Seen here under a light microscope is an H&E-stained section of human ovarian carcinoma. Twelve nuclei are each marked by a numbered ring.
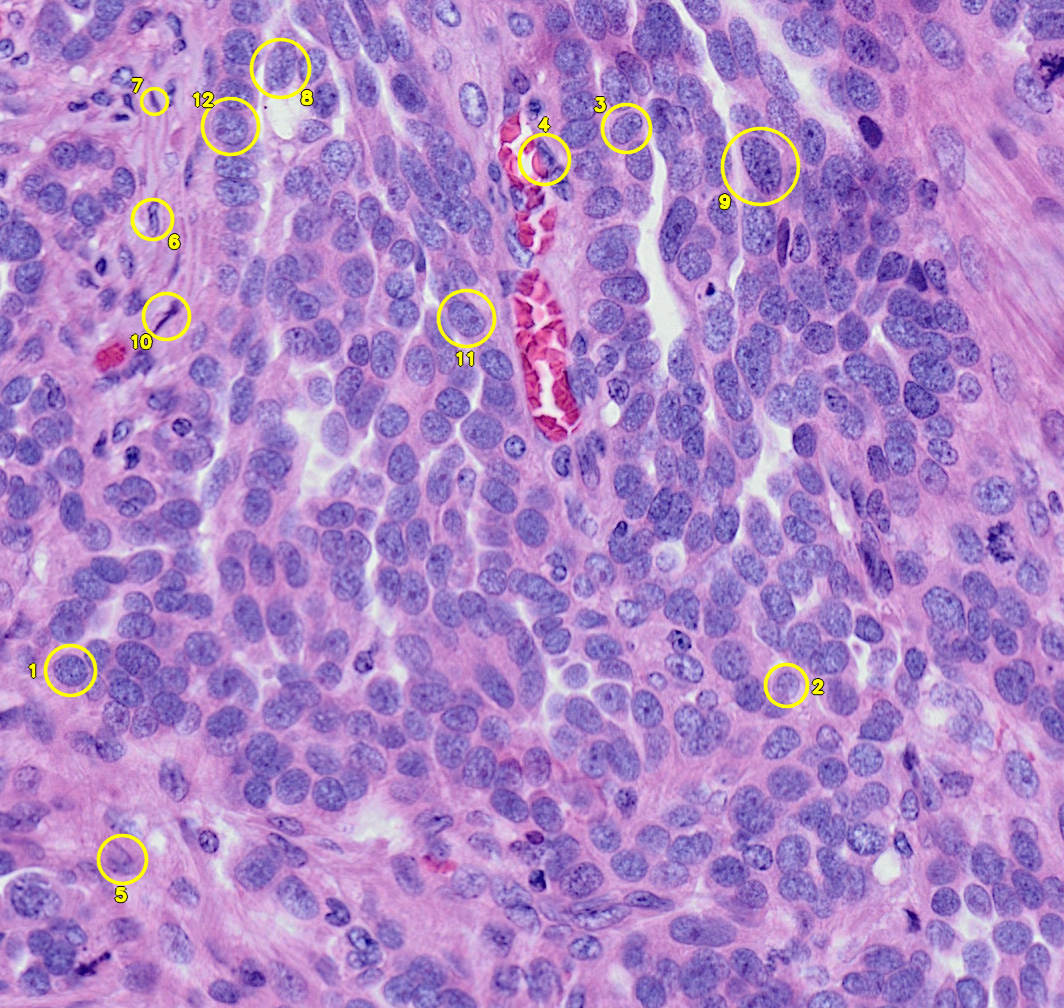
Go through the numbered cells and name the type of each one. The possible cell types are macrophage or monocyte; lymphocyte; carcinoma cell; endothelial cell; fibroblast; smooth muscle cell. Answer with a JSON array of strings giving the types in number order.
["carcinoma cell", "carcinoma cell", "carcinoma cell", "endothelial cell", "fibroblast", "fibroblast", "fibroblast", "carcinoma cell", "carcinoma cell", "fibroblast", "carcinoma cell", "carcinoma cell"]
